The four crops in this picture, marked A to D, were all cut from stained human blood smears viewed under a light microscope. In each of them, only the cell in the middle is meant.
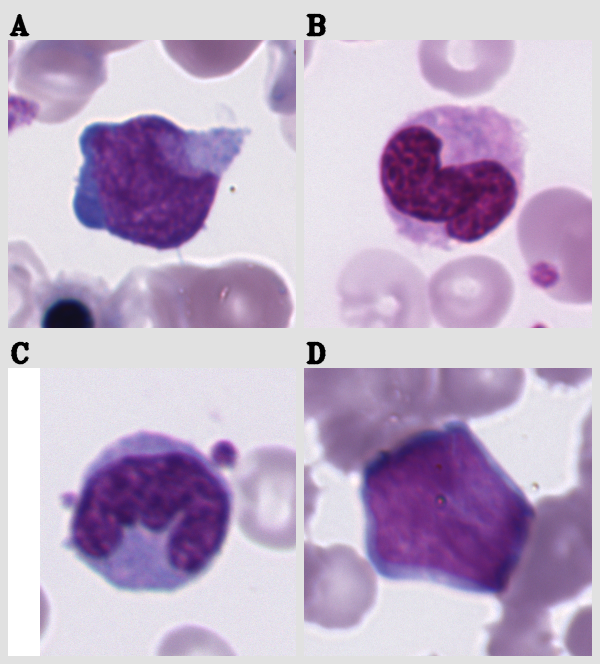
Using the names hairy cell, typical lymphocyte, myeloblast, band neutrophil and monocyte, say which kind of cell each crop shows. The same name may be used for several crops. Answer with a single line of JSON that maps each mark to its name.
{"A": "myeloblast", "B": "band neutrophil", "C": "monocyte", "D": "myeloblast"}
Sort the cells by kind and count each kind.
myeloblast: 2
band neutrophil: 1
monocyte: 1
